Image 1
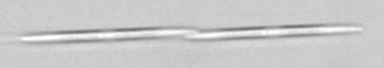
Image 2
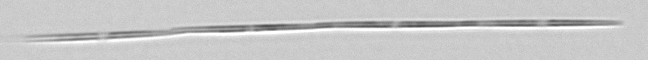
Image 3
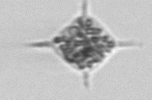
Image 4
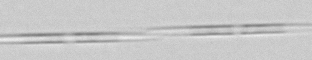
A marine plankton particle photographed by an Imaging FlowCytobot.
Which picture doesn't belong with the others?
Picture 3.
